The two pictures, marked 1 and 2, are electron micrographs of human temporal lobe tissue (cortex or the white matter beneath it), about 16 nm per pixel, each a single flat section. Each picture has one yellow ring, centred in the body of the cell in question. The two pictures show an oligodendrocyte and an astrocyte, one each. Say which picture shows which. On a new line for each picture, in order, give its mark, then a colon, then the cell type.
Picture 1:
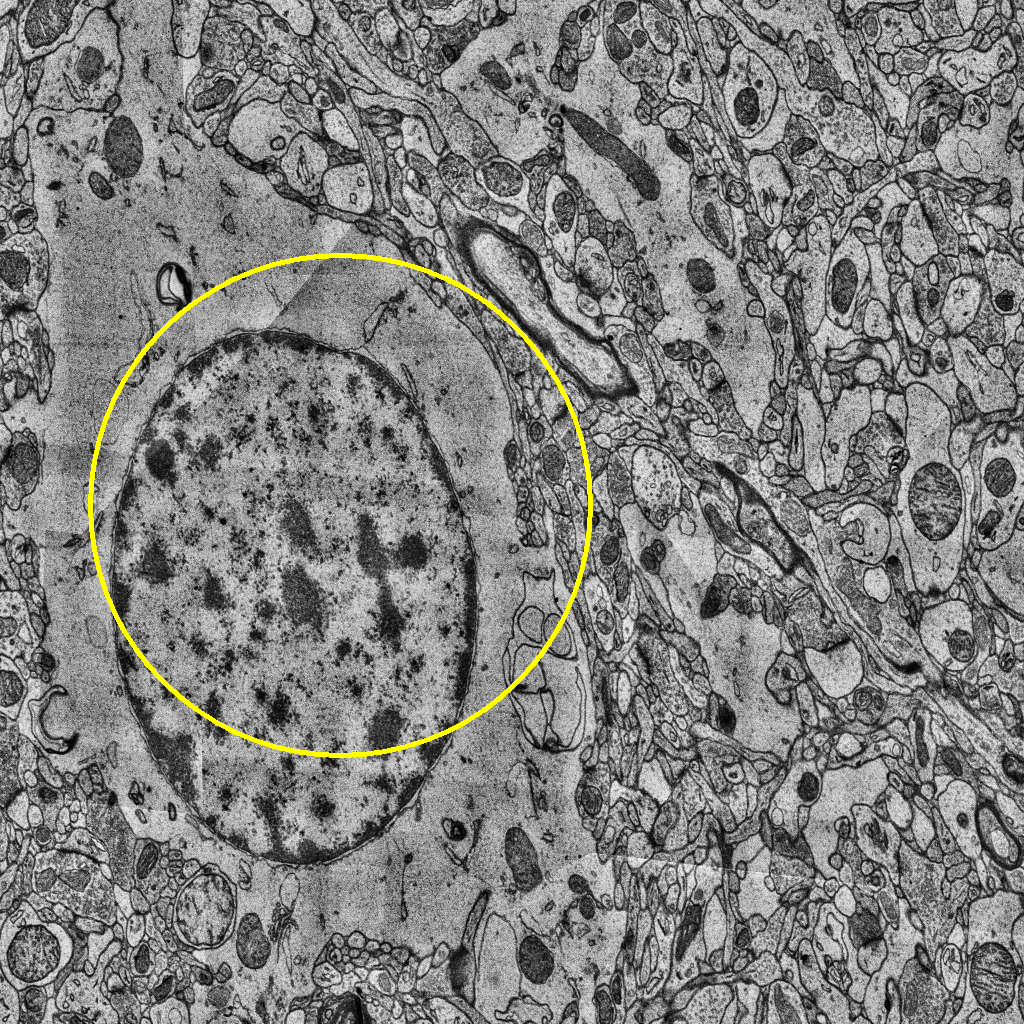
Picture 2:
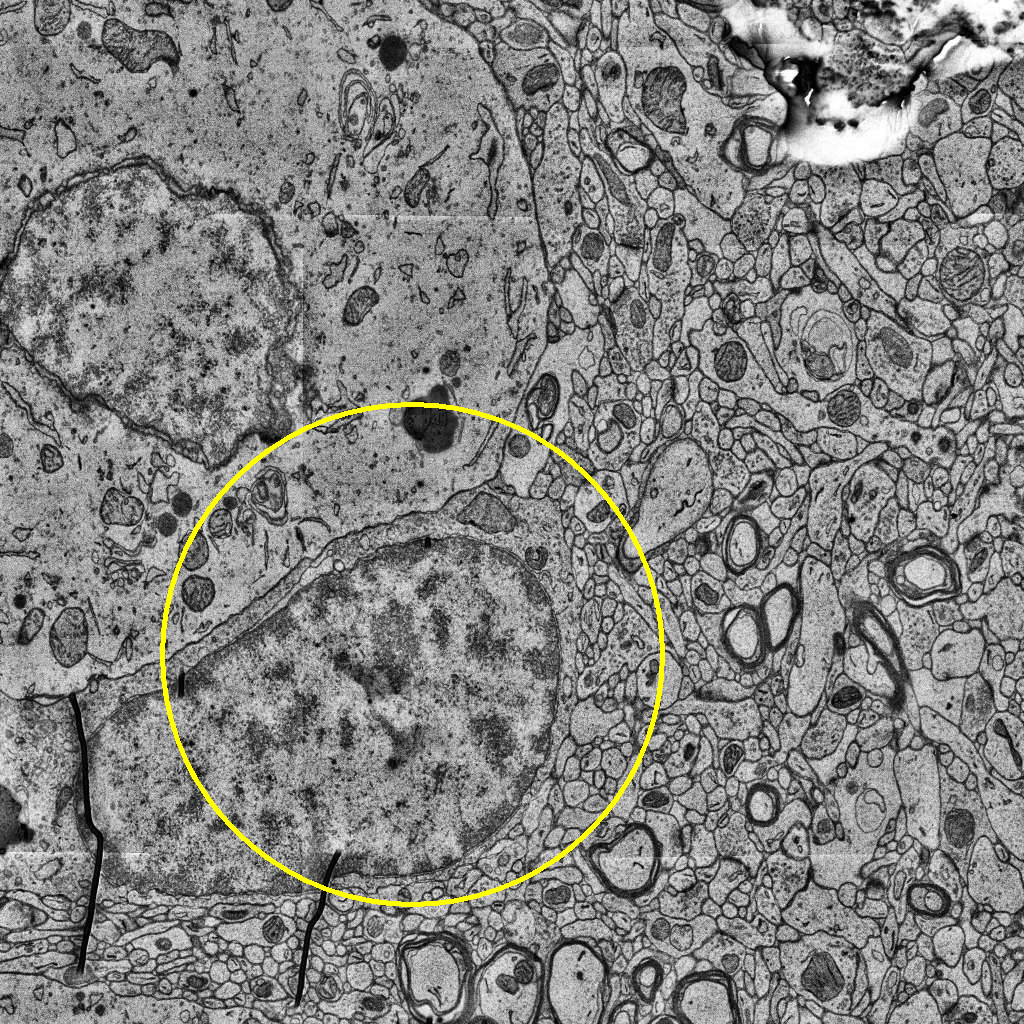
1: astrocyte
2: oligodendrocyte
